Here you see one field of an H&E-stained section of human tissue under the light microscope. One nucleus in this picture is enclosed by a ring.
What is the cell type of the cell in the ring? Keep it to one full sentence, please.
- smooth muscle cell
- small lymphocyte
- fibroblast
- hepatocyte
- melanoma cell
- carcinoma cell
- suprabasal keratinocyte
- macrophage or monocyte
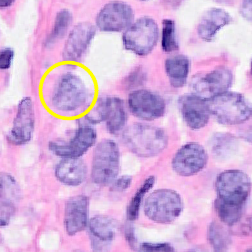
The identity of the cell in the ring: it is a carcinoma cell.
